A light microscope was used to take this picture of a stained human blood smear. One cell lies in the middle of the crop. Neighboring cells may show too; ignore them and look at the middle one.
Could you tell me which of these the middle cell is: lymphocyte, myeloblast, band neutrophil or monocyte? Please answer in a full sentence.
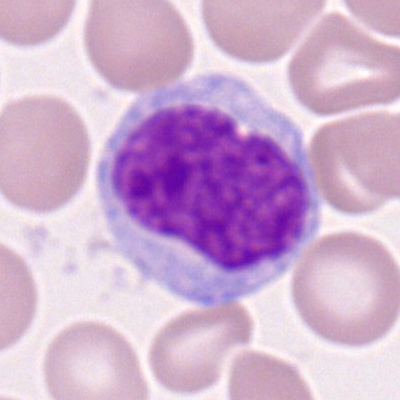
The centered cell in this crop is a monocyte.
